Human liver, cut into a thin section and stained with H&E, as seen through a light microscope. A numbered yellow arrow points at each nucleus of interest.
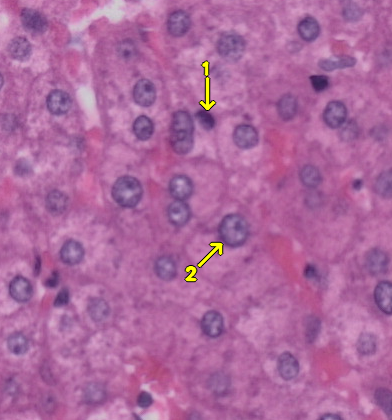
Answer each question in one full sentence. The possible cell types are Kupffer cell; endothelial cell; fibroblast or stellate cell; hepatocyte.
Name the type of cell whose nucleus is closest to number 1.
Number 1 lies closest to the nucleus of a hepatocyte.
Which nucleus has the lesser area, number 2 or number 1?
It is nucleus 1; nucleus 2 has about 2.5 times its area.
